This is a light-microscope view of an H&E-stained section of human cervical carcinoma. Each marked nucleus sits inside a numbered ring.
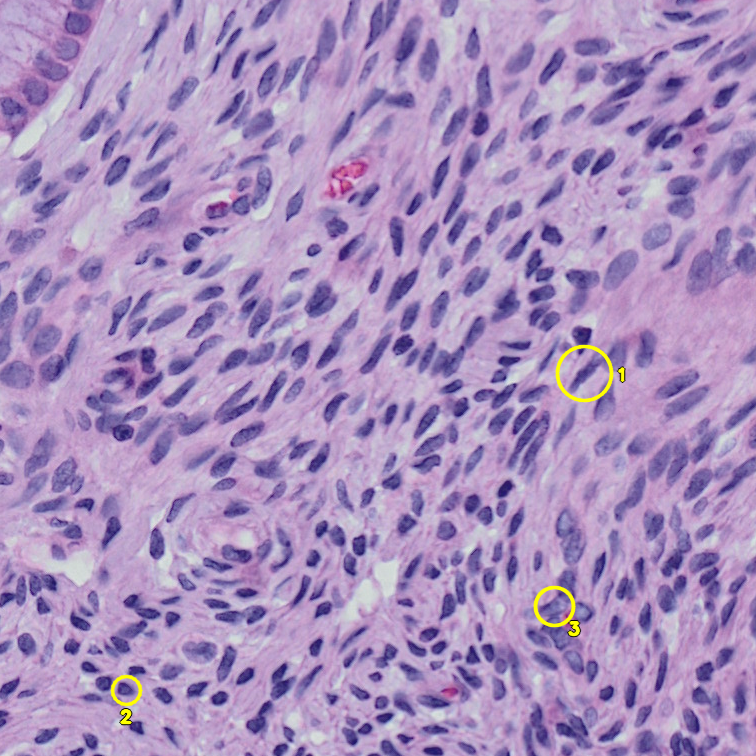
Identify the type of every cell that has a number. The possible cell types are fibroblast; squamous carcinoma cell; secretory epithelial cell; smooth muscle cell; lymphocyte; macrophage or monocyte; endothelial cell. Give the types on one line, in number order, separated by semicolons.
fibroblast; fibroblast; endothelial cell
